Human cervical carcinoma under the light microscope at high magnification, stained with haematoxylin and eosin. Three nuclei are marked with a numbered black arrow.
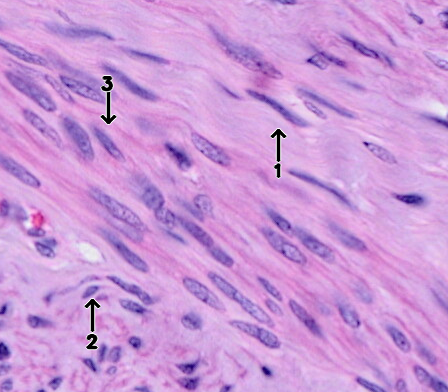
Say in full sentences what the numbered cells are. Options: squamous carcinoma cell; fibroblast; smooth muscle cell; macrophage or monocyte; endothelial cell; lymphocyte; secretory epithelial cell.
Cell 1 is a fibroblast, cell 2 is a smooth muscle cell and cell 3 is a smooth muscle cell.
